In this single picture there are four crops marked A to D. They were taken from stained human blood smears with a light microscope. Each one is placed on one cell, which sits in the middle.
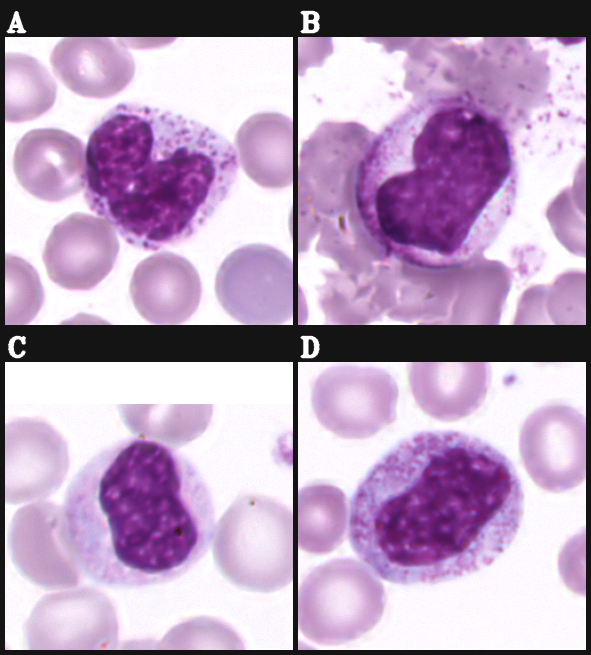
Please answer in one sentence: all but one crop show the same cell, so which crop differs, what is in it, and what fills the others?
What sets crop A apart is that it is a band neutrophil; the others are all metamyelocytes.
